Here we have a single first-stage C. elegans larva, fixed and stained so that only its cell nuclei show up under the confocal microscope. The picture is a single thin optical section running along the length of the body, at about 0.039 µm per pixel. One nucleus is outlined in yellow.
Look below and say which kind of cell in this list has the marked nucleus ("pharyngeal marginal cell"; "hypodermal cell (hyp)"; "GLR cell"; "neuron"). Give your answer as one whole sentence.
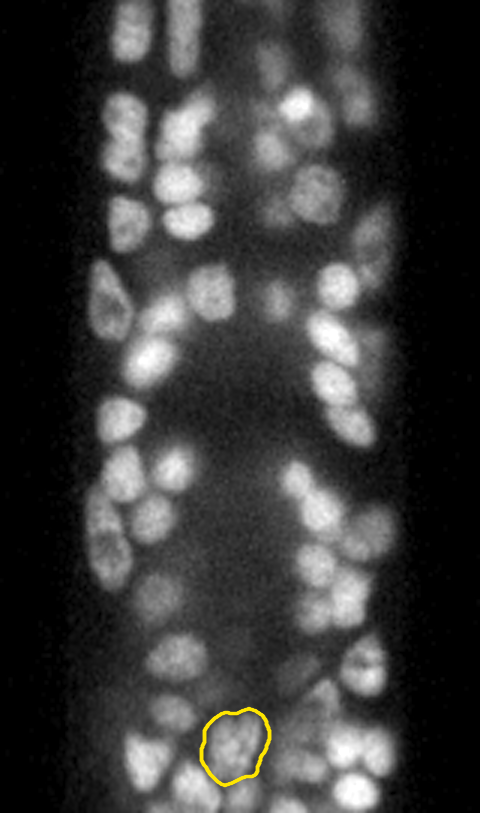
The marked nucleus is that of a pharyngeal marginal cell.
